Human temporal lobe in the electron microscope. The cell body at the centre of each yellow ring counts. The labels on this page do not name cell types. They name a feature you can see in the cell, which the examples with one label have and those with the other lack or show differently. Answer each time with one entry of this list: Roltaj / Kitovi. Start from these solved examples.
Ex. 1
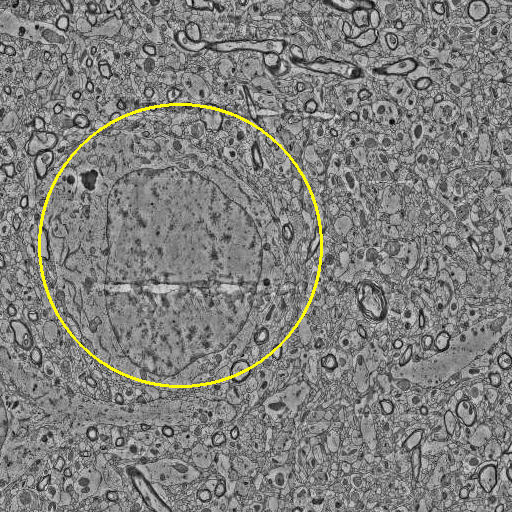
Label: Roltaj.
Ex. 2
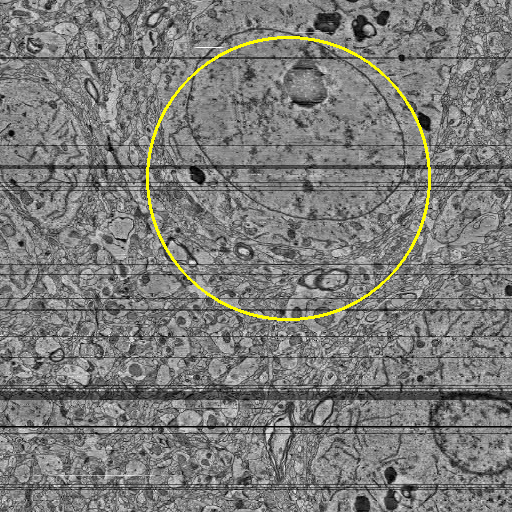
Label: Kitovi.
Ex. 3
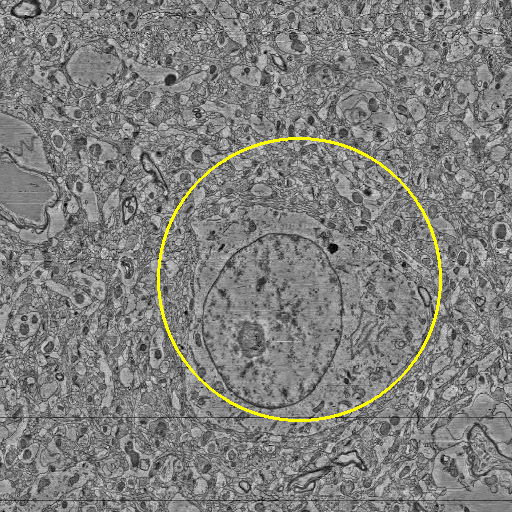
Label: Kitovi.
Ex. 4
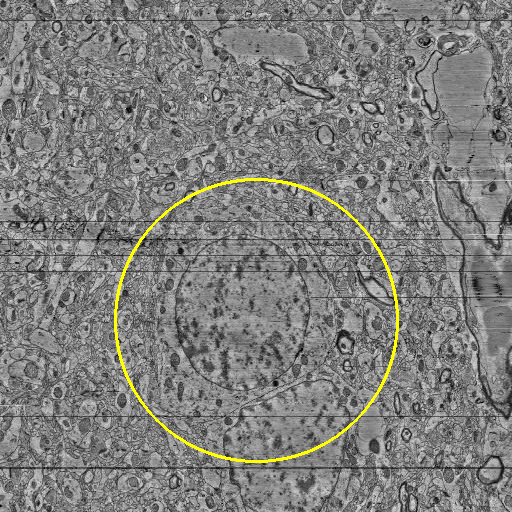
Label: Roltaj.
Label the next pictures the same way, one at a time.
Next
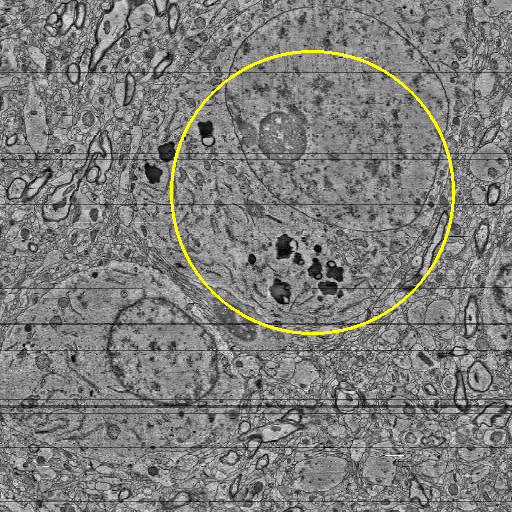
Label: Kitovi.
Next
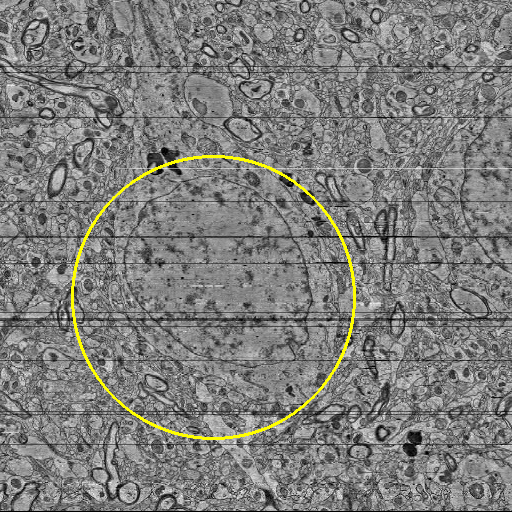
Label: Roltaj.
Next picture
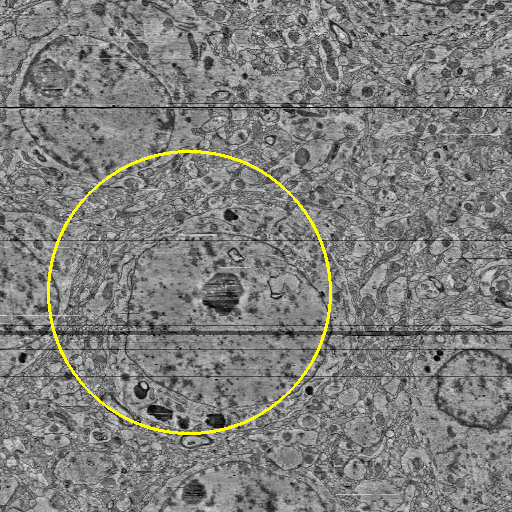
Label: Kitovi.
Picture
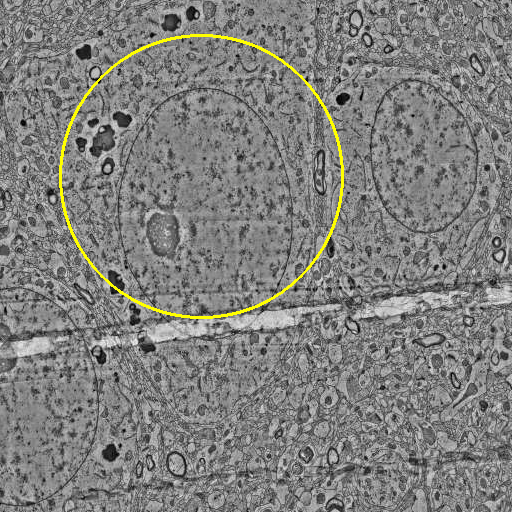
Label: Kitovi.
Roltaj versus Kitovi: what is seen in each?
Roltaj: no nucleolus seen; Kitovi: nucleolus seen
